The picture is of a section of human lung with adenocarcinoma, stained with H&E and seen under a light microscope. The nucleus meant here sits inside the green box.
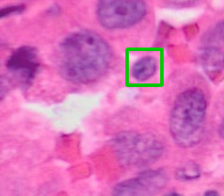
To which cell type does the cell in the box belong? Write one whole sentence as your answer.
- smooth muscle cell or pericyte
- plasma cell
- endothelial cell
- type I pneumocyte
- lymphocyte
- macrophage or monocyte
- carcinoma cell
It is a lymphocyte that the cell in the box represents.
